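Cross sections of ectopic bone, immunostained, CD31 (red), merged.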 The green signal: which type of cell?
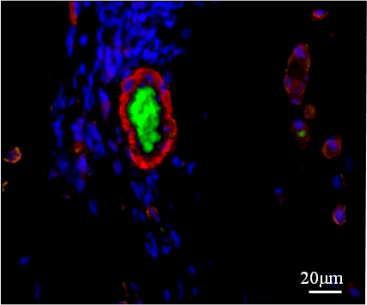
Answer: erythrocytes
